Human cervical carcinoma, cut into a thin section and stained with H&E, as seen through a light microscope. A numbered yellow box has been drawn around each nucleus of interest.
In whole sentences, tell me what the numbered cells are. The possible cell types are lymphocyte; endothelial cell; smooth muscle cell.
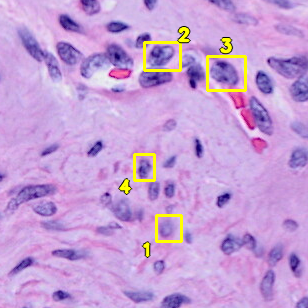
Cell 1 is a smooth muscle cell, cell 2 is an endothelial cell, cell 3 is an endothelial cell and cell 4 is a smooth muscle cell.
